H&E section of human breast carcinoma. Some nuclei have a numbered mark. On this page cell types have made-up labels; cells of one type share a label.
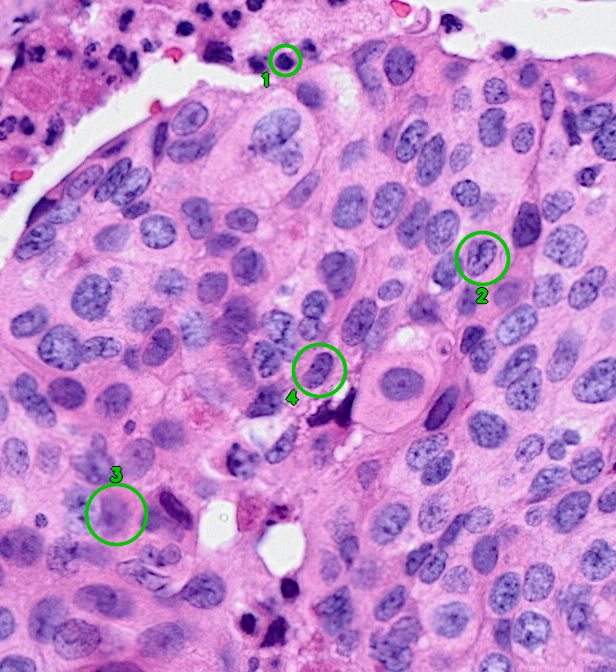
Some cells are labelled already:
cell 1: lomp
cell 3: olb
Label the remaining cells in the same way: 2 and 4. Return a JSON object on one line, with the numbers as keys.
{"2": "olb", "4": "olb"}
